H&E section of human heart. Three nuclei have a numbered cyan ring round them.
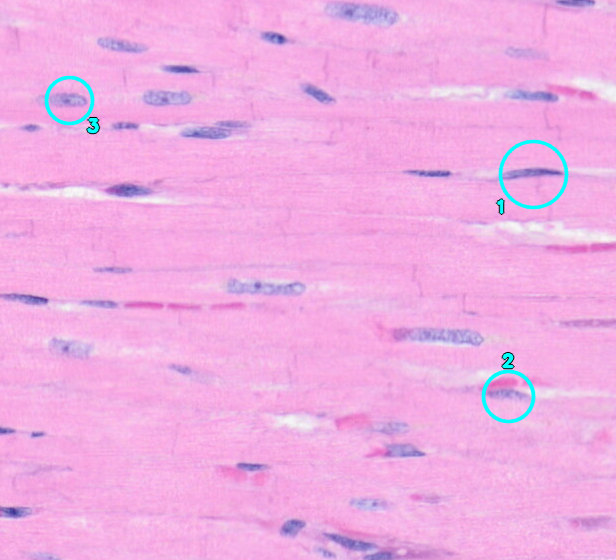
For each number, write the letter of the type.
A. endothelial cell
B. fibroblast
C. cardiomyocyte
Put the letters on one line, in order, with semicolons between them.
A; B; C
